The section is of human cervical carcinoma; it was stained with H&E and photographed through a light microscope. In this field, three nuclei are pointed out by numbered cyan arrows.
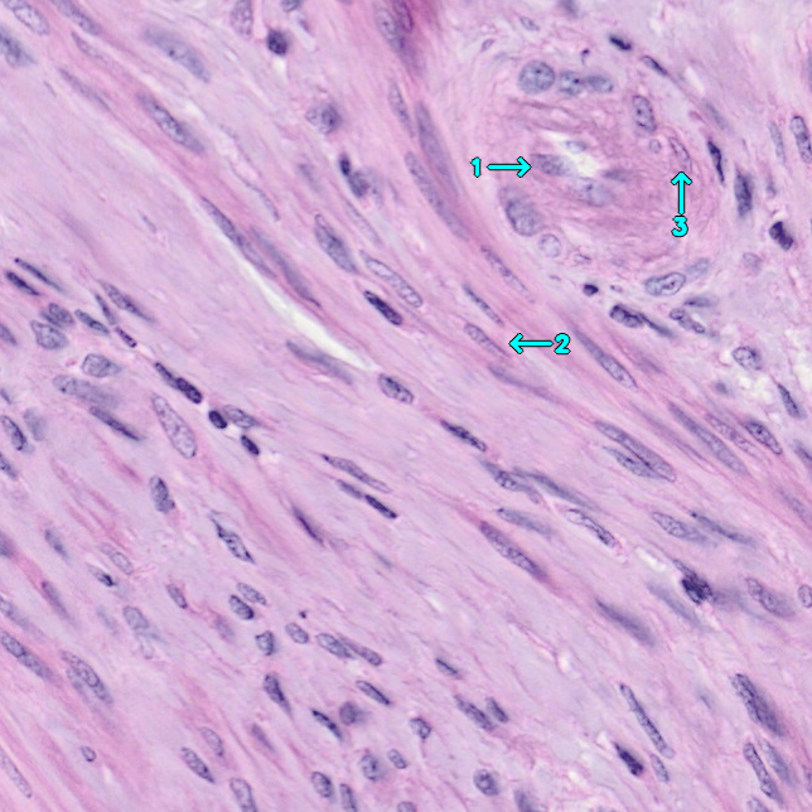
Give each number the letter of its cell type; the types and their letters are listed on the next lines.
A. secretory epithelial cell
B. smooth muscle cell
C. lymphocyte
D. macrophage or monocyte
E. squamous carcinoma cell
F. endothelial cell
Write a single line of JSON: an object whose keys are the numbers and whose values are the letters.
{"1": "F", "2": "B", "3": "B"}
